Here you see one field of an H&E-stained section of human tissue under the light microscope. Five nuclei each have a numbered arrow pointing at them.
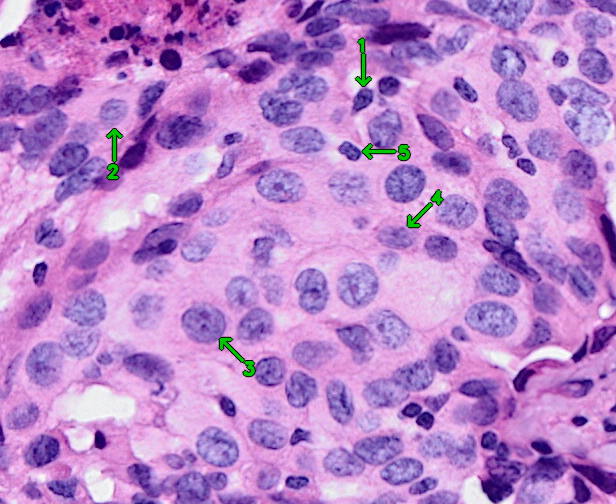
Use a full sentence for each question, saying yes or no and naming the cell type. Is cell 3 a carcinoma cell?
Yes, cell 3 is a carcinoma cell in this tissue section.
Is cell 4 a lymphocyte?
No, a carcinoma cell, not a lymphocyte, is the cell with number 4.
